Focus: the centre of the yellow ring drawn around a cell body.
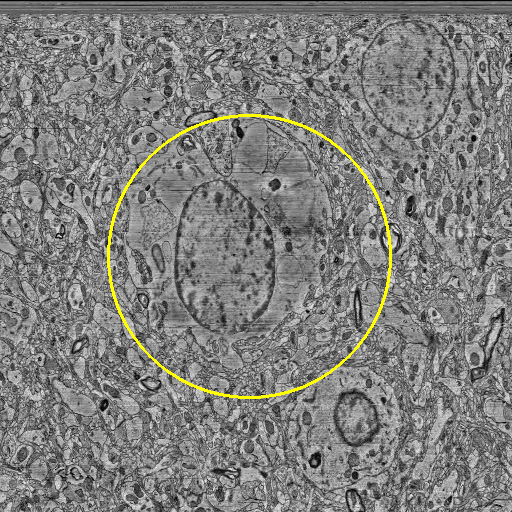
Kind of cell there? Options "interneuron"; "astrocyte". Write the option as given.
astrocyte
